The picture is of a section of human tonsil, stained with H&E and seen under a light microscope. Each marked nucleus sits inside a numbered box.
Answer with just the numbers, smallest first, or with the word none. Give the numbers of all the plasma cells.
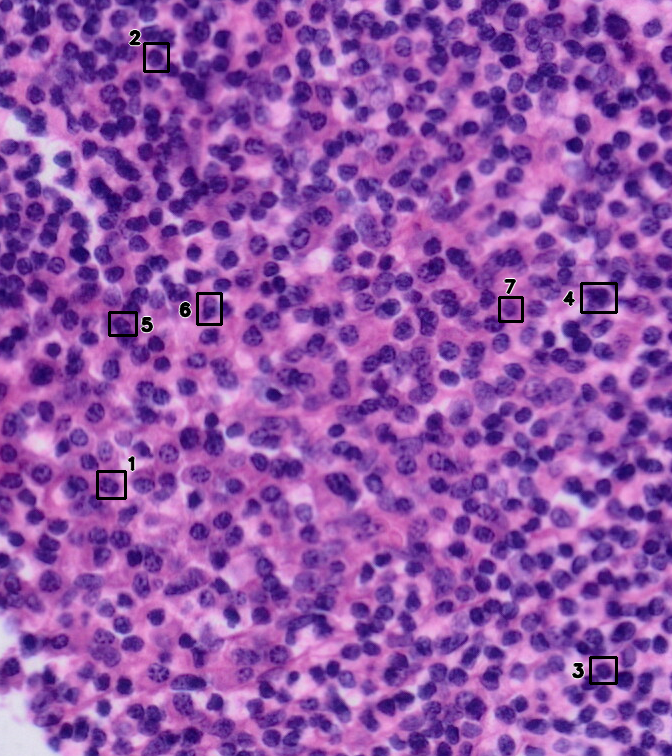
1, 5, 6, 7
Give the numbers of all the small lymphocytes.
2, 3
